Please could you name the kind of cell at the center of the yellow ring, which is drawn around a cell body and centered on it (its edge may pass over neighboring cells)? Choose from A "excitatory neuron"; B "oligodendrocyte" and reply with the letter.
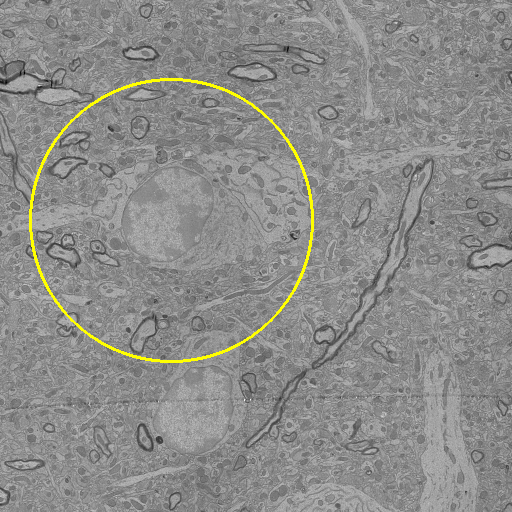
B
